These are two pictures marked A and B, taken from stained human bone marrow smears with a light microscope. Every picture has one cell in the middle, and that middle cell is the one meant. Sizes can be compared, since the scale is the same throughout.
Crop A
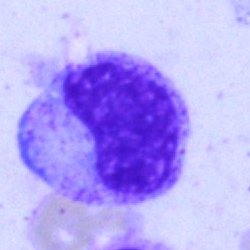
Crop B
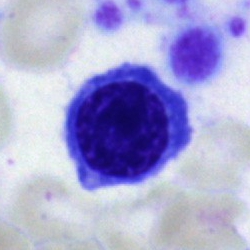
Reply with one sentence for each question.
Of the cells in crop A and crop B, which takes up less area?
It is the cell in crop B; the cell in crop A has about 1.5 times its area.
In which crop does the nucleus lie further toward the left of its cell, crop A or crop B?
Seen within its cell, the nucleus in crop B lies further toward the left.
